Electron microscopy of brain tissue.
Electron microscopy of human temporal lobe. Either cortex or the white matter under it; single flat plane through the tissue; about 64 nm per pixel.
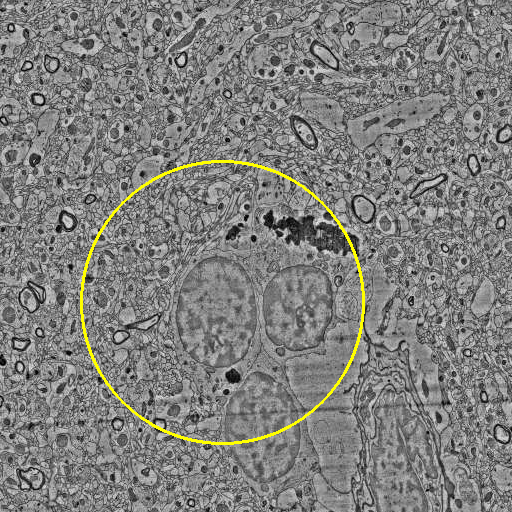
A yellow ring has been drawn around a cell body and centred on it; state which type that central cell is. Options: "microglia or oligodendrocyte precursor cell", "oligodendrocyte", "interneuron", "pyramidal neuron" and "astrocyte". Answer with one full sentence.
The cell at the middle of the yellow ring is an oligodendrocyte in this picture.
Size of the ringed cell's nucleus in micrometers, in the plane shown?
Approximately 7 by 5 micrometers in this plane.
